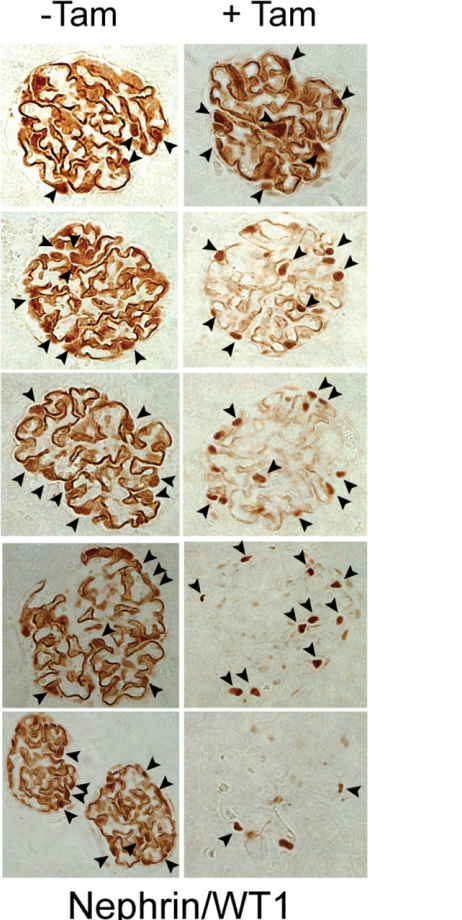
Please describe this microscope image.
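Kidney glomeruli in two columns of five brown-stained sections. In the left column each glomerular tuft shows convoluted capillary loops traced by a continuous, dark brown linear stain along the loop walls, with brown round to oval nuclei sitting on the outer aspect of the loops, several marked by black arrowheads. In the right column the top tuft resembles those on the left, but lower down the linear loop staining fades and disappears, leaving pale, faint capillary outlines on which discrete brown nuclei stand out, still marked by arrowheads. In the bottom right image the tuft is barely discernible and only a few brown nuclei remain.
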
